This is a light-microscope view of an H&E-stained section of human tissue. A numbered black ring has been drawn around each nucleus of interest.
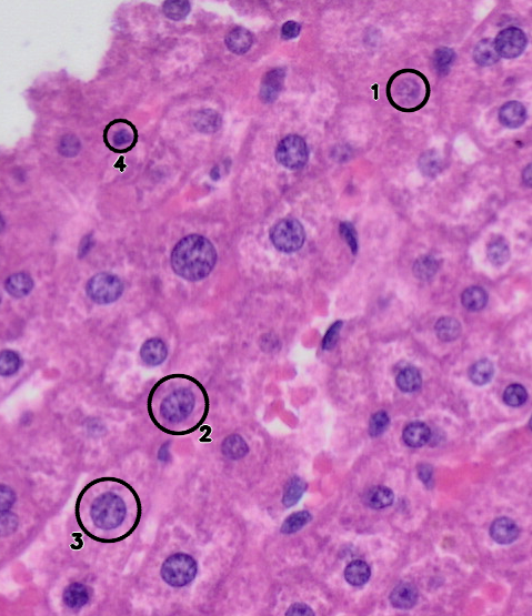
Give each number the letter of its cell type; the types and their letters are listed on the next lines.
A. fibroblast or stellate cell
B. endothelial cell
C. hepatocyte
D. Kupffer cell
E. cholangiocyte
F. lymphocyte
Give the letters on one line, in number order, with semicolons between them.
C; C; C; A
